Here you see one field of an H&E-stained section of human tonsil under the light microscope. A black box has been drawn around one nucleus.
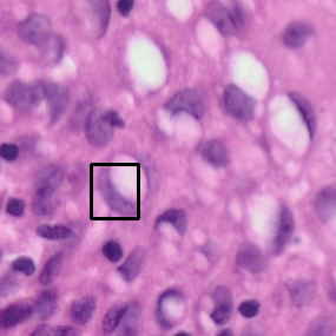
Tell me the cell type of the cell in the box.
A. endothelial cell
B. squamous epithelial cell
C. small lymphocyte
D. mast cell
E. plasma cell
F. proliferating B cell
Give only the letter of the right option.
B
